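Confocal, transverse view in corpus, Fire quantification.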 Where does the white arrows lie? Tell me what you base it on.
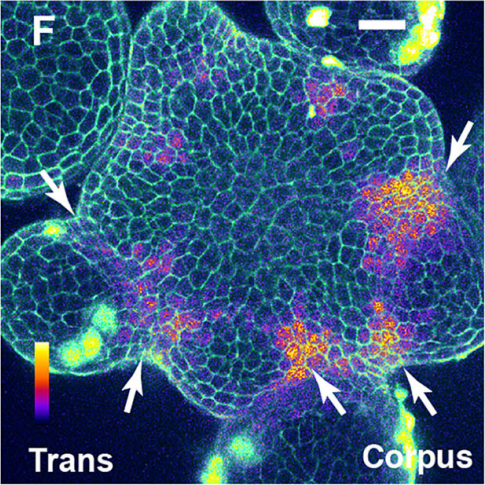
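Boundary between shoot meristem and primordia. A central dome of small cells is flanked by several rounded outgrowths.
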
